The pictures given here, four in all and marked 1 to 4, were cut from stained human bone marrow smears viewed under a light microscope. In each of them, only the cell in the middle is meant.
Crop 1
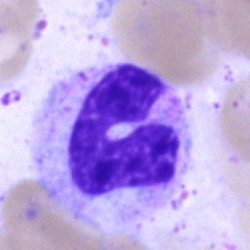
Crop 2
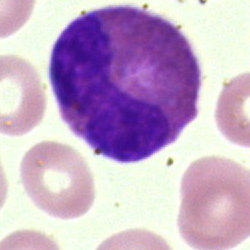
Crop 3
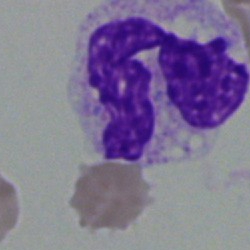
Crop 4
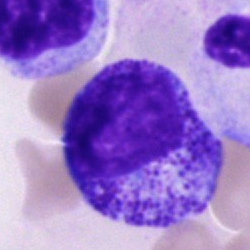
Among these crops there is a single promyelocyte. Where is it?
4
